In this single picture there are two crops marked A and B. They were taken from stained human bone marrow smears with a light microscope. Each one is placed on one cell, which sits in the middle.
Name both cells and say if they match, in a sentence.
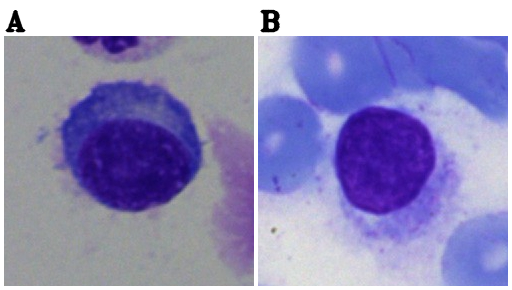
No, while a plasma cell is found in crop A, a hairy cell is found in crop B.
